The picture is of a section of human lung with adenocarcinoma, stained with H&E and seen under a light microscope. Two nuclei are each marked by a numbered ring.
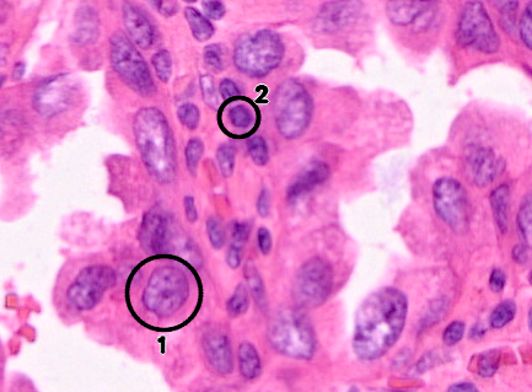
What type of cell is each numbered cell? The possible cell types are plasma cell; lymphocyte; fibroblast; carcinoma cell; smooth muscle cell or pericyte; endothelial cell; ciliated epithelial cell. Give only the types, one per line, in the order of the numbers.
carcinoma cell
lymphocyte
